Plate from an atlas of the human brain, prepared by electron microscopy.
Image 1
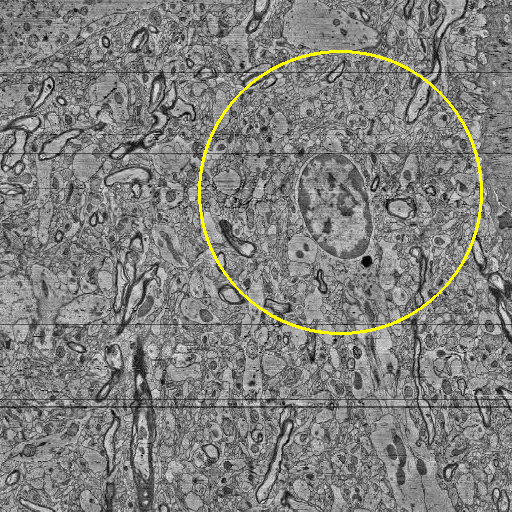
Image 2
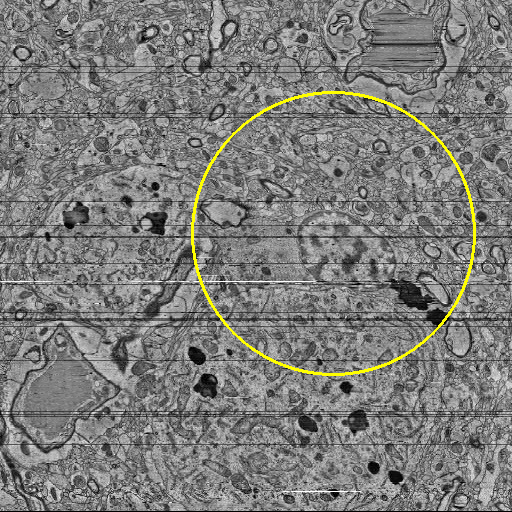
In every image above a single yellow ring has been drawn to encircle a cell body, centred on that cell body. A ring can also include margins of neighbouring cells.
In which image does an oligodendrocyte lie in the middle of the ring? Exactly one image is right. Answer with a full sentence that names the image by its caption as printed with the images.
Image 2 holds the requested cell at the very centre of its ring.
